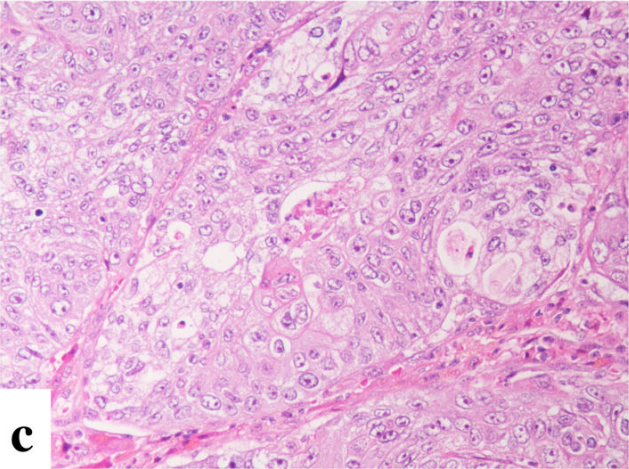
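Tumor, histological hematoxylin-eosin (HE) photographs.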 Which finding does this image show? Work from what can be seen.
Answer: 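Squamous differentiation. Tumor cells grow in solid sheets. Polygonal cells with abundant pale eosinophilic cytoplasm and distinct borders. Nuclei are aligned in a streaming pattern.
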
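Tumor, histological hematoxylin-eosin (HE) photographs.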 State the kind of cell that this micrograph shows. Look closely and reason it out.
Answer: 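Large polygonal cells with ample pink cytoplasm. Vesicular nuclei with prominent nucleoli. Cells form cohesive sheets rather than glands.
Answer: squamoid cells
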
